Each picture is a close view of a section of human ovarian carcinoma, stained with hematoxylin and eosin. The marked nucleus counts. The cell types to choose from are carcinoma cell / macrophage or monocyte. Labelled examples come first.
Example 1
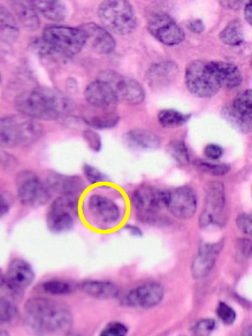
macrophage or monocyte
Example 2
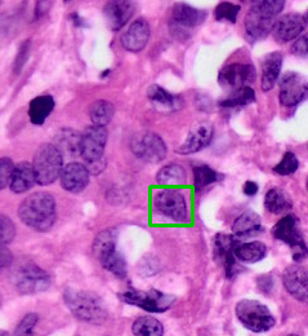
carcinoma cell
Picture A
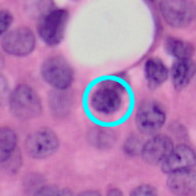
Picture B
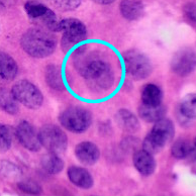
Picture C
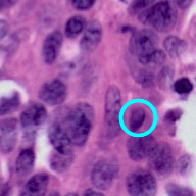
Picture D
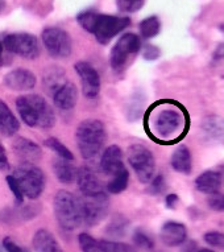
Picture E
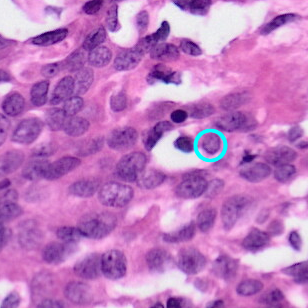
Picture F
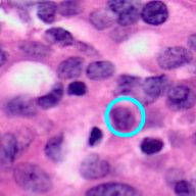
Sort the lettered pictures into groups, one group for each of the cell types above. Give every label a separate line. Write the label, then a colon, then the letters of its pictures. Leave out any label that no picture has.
carcinoma cell: B, C, F
macrophage or monocyte: A, D, E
